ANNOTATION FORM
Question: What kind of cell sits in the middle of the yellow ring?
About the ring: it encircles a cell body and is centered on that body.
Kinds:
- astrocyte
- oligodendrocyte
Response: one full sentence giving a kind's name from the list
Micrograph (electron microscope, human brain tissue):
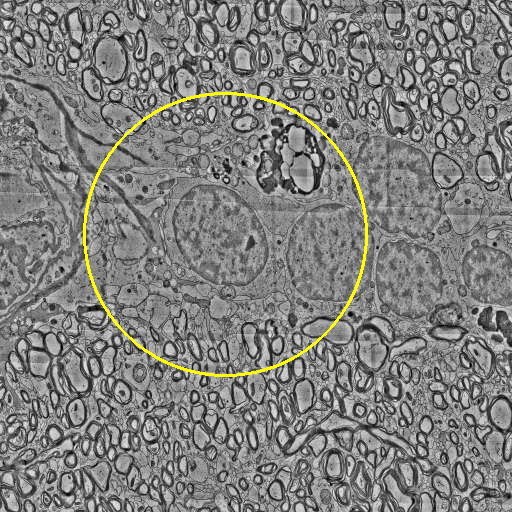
The kind of cell found at the center of the yellow ring in the micrograph is an oligodendrocyte.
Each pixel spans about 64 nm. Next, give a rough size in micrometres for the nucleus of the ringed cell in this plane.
In this plane the nucleus measures roughly 7 by 5 micrometres.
